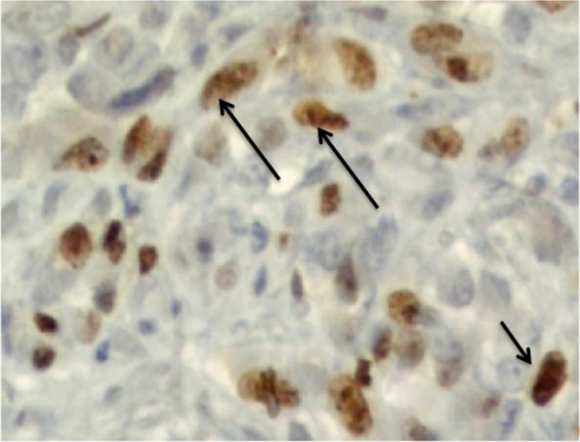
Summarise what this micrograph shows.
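The cells have pale, ill-defined cytoplasm with no visible pigment, and borders between cells are hard to make out. Their nuclei are large and oval, some with a vesicular chromatin pattern. A scattered subset of nuclei is stained a strong brown, while the rest are only pale blue from the counterstain. The brown nuclei vary in size and intensity and are spread through the field rather than clustered in one place.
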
